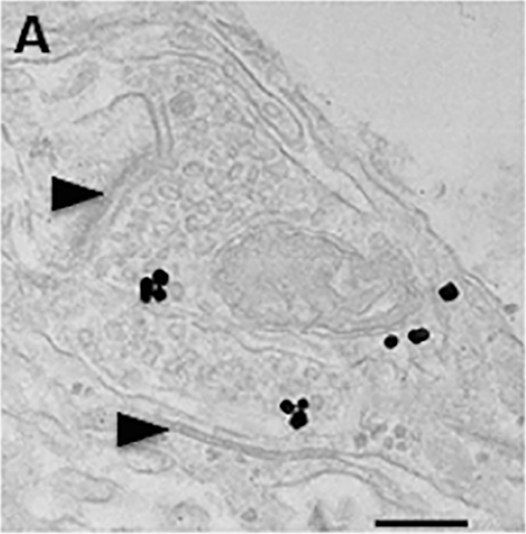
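This electron micrograph shows a nerve terminal forming synaptic contacts with neighbouring neuronal profiles. The terminal is crowded with small, round, clear vesicles and holds a central mitochondrion. Clusters of black particles lie within it. At its edges, close appositions of membranes mark the synaptic contacts with adjacent profiles.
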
